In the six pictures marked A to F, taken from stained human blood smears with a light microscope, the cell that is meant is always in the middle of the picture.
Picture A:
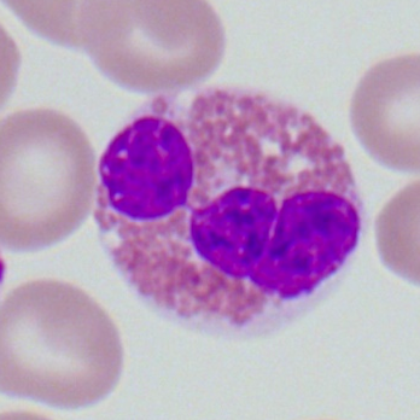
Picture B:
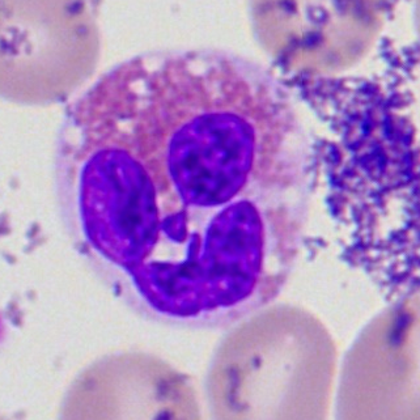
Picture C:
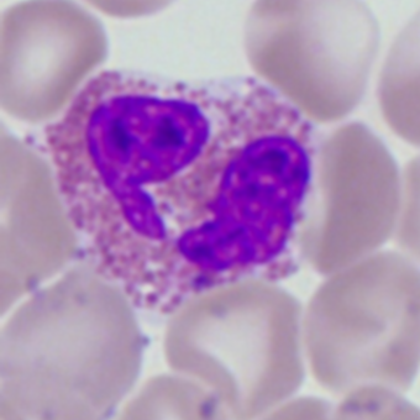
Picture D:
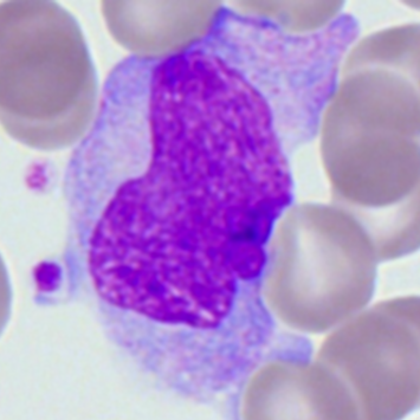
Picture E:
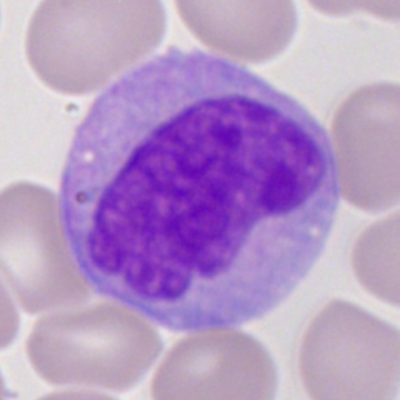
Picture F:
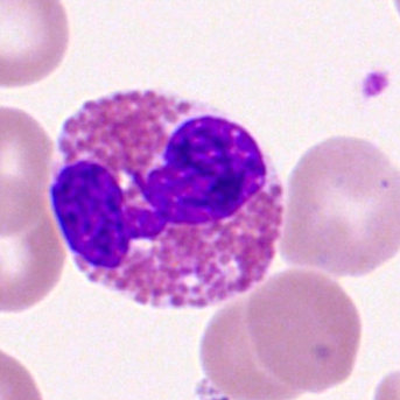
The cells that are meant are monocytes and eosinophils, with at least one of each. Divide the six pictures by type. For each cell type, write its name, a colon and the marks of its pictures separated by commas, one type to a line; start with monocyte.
monocyte: D, E
eosinophil: A, B, C, F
